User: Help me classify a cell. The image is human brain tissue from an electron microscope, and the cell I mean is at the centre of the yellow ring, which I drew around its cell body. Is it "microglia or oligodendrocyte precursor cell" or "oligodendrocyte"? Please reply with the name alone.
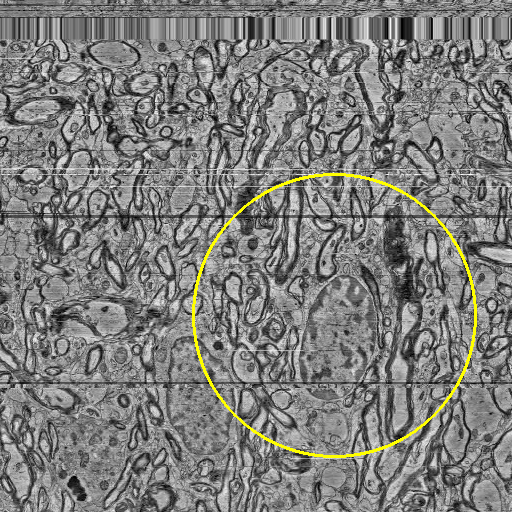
microglia or oligodendrocyte precursor cell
